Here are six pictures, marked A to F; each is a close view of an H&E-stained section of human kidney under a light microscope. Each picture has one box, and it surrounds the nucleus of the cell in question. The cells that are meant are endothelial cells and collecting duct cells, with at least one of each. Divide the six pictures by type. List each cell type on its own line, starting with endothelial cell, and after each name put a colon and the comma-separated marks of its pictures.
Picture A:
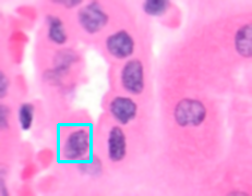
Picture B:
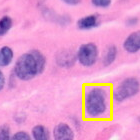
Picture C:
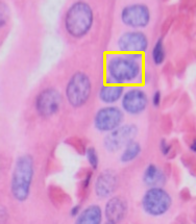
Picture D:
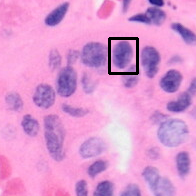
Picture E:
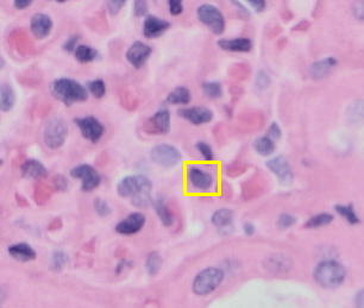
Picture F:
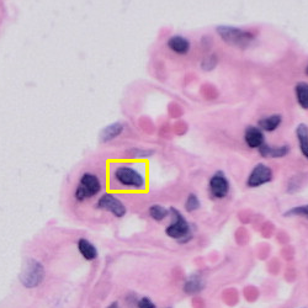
endothelial cell: E, F
collecting duct cell: A, B, C, D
